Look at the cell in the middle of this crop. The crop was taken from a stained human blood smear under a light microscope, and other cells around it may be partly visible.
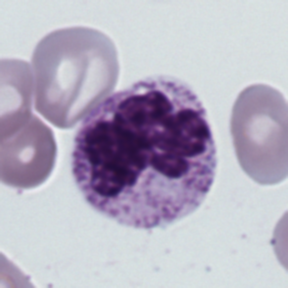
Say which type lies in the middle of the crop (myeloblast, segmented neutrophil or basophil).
segmented neutrophil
